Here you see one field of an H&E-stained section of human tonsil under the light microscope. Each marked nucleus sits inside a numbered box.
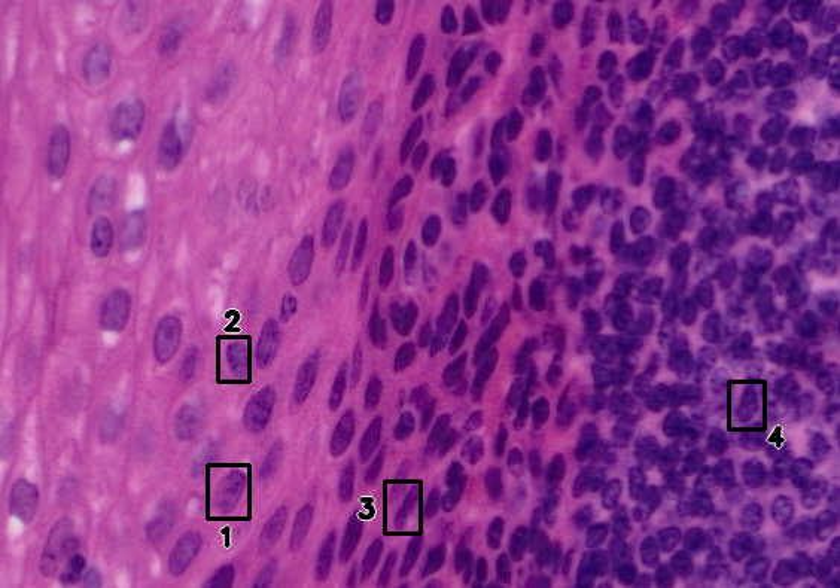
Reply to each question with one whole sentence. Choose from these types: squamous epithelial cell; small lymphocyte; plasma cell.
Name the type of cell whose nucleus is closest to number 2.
The nearest nucleus to number 2 belongs to a squamous epithelial cell.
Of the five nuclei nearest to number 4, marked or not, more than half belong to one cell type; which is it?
Around number 4, most of the five nearest nuclei are those of small lymphocytes.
